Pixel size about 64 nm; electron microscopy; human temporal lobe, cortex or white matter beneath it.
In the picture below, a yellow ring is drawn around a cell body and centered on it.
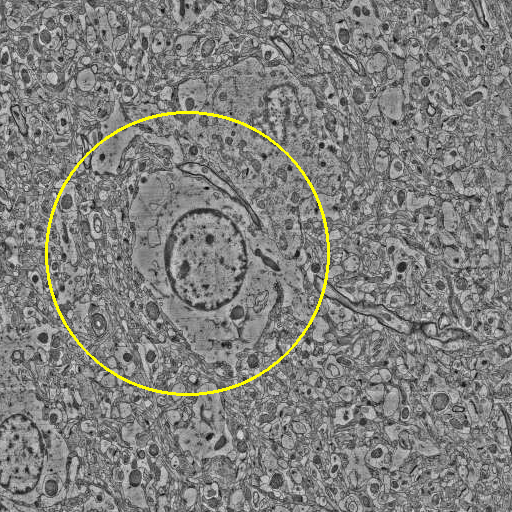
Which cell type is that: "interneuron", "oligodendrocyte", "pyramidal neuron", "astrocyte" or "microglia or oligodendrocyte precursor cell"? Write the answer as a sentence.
The cell centered in the ring is an astrocyte.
